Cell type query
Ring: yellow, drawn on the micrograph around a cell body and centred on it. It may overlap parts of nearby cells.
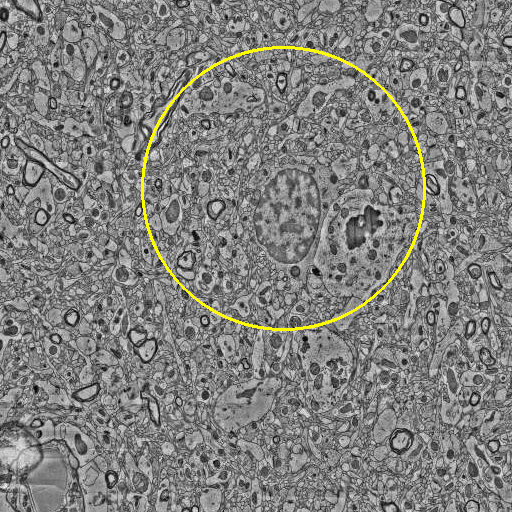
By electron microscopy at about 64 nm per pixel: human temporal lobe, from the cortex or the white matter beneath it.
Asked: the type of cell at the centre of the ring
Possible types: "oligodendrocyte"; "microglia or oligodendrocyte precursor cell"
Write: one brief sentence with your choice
The ring marks an oligodendrocyte.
